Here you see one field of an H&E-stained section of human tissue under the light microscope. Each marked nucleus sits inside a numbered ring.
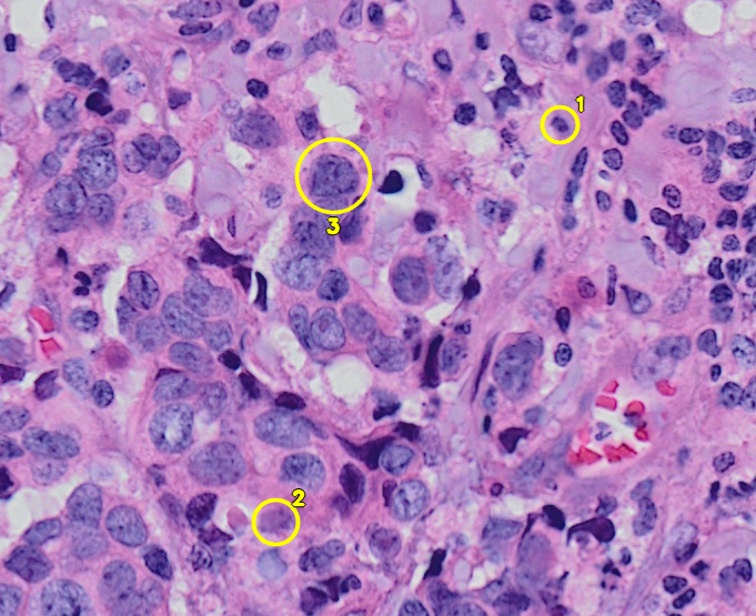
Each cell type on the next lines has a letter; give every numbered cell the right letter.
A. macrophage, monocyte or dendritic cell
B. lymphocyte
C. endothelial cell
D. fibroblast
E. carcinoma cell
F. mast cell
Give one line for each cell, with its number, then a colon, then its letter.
1: B
2: E
3: E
